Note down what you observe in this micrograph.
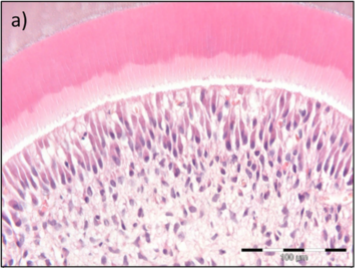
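Developing tooth with odontoblasts lining the pulp. A curved band of pink mineralised hard tissue runs across the top, with a paler inner band beneath it. Under a thin white separation lies a dense palisade of tall columnar cells with elongated purple nuclei, aligned perpendicular to the hard tissue and packed side by side. Deeper, the cells become less orderly, with smaller oval nuclei, and give way to loose pale pulp tissue with scattered nuclei and occasional small red blood cells. The arrangement is regular, and nuclei are well stained throughout.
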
